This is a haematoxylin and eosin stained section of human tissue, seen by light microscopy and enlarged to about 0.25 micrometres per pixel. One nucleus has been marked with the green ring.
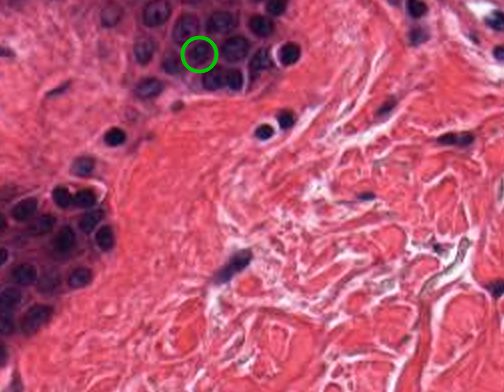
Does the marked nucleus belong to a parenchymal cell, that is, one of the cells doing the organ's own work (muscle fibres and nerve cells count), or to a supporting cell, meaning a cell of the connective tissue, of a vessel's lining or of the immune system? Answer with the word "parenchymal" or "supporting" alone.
parenchymal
